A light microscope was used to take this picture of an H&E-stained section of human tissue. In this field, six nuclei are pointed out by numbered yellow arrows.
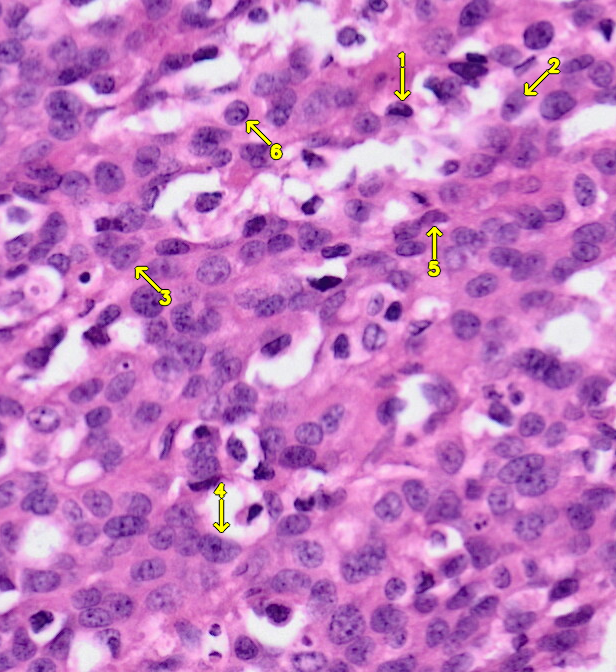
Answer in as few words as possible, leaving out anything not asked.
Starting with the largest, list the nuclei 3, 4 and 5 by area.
4, 3, 5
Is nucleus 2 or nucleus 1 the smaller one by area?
1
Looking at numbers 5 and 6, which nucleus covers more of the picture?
6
